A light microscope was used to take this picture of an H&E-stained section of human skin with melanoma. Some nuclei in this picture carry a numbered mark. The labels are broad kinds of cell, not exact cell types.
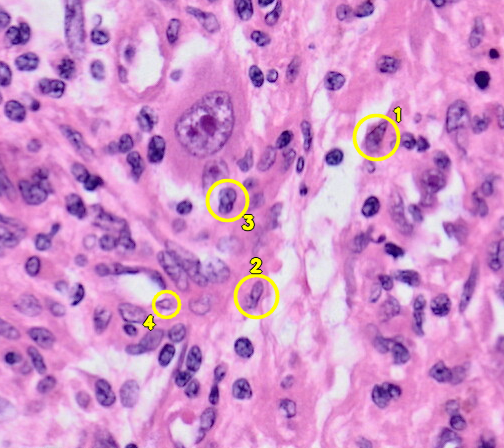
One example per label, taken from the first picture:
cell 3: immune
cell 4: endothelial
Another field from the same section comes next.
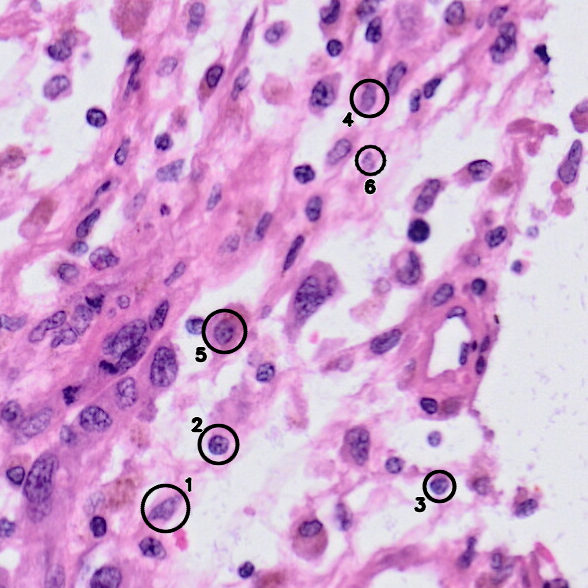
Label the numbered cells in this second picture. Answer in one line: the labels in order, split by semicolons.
immune; immune; immune; immune; immune; immune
